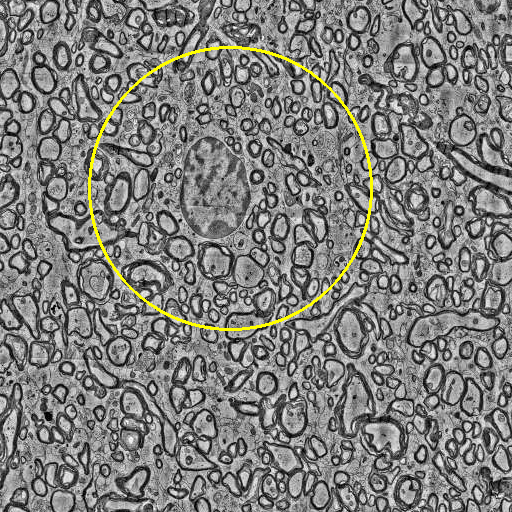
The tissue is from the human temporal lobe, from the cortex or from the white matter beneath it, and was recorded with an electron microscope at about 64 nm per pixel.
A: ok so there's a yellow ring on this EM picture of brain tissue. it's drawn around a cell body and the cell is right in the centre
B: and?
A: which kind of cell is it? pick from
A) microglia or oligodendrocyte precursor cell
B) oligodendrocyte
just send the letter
A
